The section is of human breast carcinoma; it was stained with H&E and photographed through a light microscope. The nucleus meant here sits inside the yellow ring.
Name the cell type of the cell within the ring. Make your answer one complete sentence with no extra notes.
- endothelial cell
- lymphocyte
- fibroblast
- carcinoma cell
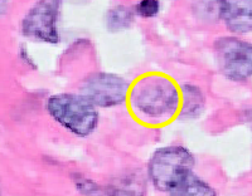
In this tissue section, the cell within the ring is to be classed as a carcinoma cell.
